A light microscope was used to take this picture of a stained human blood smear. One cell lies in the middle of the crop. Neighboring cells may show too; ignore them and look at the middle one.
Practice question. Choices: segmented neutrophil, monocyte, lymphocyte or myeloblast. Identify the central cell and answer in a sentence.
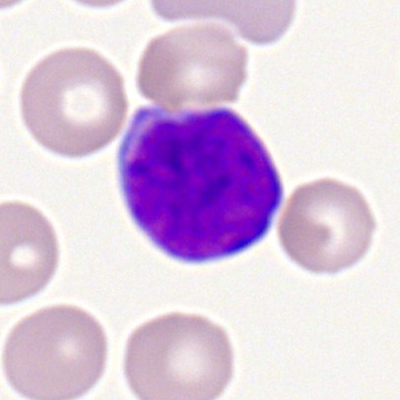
The middle position in this crop is taken by a myeloblast.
